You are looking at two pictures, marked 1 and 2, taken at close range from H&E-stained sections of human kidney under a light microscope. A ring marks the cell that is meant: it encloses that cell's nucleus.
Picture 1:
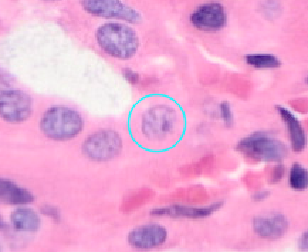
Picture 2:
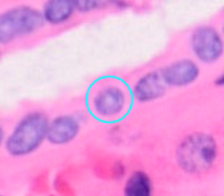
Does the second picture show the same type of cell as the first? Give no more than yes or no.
no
